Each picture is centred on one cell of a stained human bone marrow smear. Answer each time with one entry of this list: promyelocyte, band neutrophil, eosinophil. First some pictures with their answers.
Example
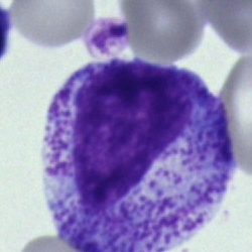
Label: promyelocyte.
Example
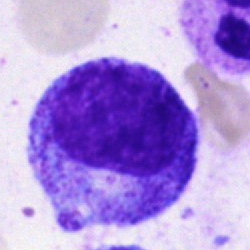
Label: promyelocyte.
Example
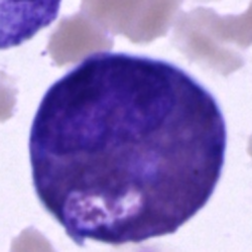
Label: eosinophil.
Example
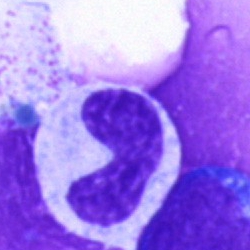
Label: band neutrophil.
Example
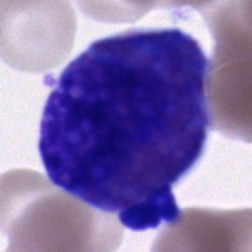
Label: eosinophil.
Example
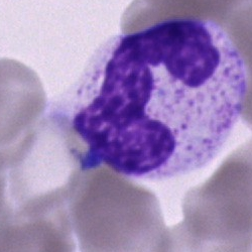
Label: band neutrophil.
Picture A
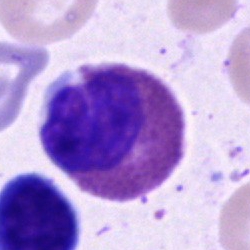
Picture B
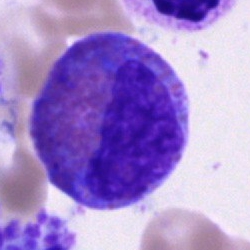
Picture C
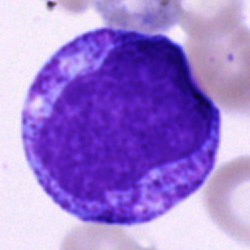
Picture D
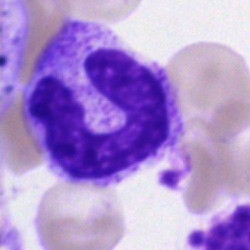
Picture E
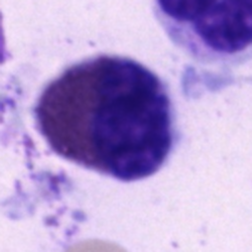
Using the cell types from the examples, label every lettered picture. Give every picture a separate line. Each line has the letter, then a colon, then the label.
A: eosinophil.
B: eosinophil.
C: promyelocyte.
D: band neutrophil.
E: eosinophil.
